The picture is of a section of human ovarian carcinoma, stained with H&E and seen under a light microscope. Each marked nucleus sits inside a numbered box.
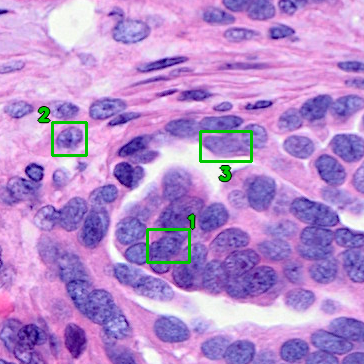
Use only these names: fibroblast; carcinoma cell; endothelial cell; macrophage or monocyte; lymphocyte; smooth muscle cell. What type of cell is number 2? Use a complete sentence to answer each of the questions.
The cell pointed out by number 2 is a fibroblast.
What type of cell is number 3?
The nucleus with number 3 is that of a carcinoma cell.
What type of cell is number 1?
In this section, the cell tagged 1 is a carcinoma cell.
